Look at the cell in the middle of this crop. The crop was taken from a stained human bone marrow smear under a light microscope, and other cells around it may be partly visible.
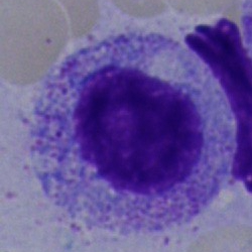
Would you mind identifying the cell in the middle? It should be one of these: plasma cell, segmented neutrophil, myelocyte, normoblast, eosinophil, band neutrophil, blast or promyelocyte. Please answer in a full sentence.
By classification, the middle cell of this crop is a myelocyte.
